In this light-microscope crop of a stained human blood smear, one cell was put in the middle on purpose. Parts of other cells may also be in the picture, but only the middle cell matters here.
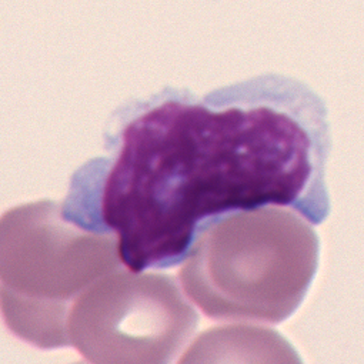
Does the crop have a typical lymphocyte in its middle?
yes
